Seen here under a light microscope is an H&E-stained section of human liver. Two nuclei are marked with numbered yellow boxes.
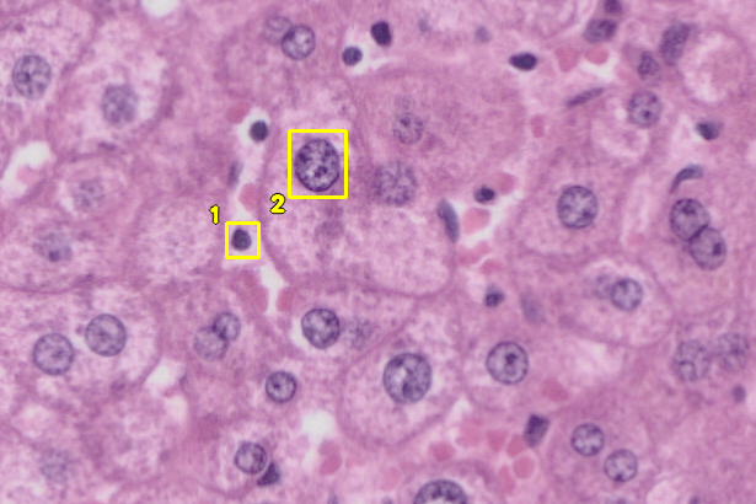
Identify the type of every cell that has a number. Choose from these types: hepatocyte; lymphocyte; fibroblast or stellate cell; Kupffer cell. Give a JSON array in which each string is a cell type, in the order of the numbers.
["lymphocyte", "hepatocyte"]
